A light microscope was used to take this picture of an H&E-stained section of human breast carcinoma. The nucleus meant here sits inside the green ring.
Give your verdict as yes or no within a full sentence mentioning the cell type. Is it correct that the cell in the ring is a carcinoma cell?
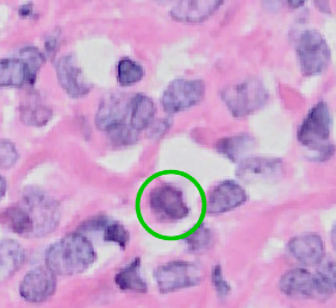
Yes, the cell in the ring is a carcinoma cell; nothing to add.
